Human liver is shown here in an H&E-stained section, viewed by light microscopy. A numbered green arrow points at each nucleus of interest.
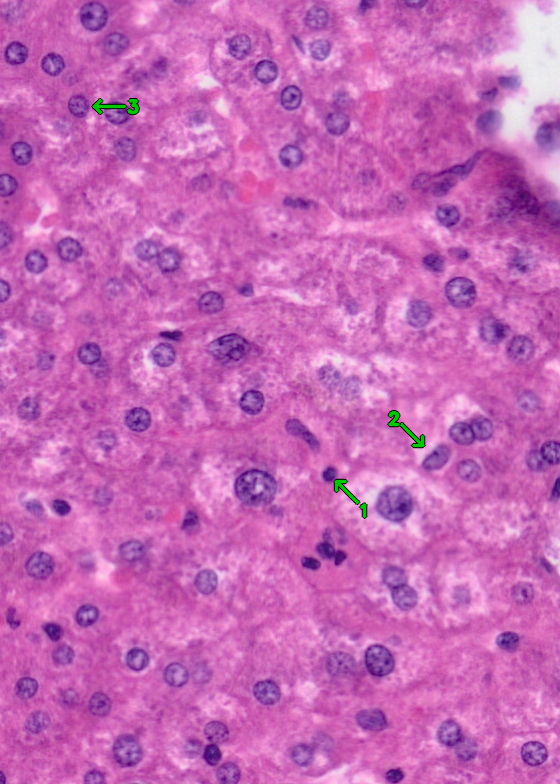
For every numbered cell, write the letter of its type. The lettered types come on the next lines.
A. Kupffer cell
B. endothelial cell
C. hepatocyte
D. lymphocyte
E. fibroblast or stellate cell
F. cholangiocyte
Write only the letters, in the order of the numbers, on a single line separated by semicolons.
D; A; C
